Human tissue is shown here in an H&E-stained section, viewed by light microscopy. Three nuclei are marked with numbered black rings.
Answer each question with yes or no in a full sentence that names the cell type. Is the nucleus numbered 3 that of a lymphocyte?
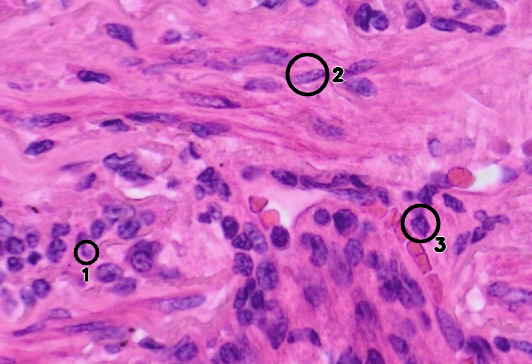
Yes, the number 3 belongs to a lymphocyte.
